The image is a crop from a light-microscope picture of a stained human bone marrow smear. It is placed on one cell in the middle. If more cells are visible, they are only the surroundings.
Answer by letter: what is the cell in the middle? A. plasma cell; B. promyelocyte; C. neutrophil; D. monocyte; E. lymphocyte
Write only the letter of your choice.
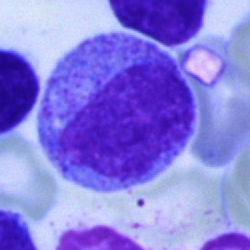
B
